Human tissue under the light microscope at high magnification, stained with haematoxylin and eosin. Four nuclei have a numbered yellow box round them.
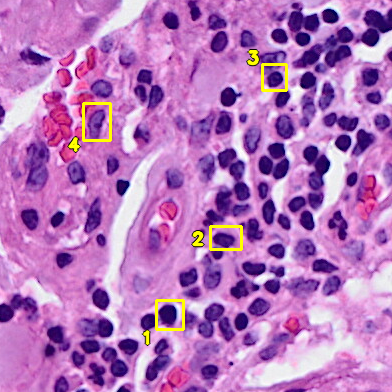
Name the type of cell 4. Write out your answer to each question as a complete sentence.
The cell marked with number 4 is an endothelial cell.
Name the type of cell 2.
Among the marked cells, number 2 is a lymphocyte.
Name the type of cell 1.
The cell numbered 1 has been identified as a lymphocyte.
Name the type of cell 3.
The cell carrying label 3 is identified as a lymphocyte.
